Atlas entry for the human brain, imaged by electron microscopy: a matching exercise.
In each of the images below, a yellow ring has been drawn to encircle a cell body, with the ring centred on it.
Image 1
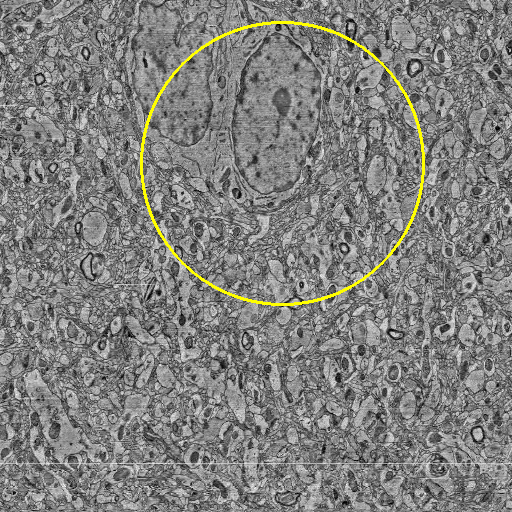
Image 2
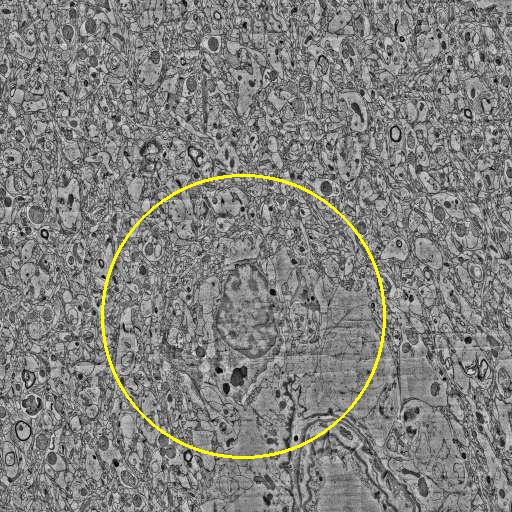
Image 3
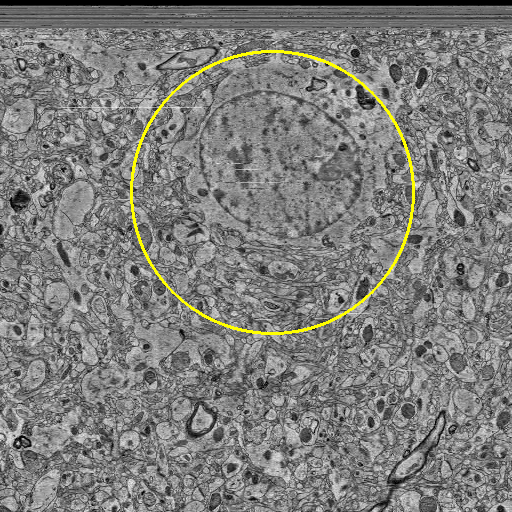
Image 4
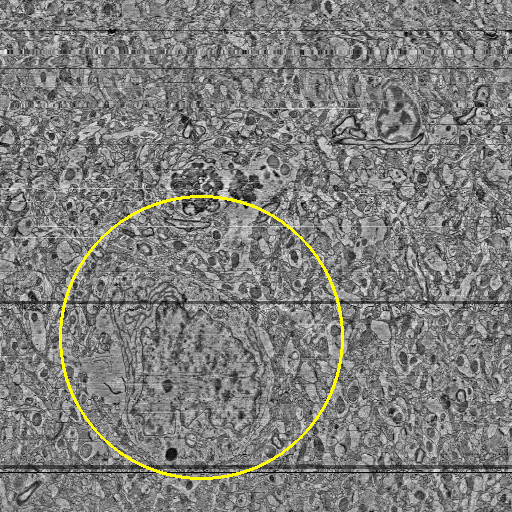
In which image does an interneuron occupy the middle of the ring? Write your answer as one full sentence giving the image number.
In image 4, the ring is centred on the cell in question.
